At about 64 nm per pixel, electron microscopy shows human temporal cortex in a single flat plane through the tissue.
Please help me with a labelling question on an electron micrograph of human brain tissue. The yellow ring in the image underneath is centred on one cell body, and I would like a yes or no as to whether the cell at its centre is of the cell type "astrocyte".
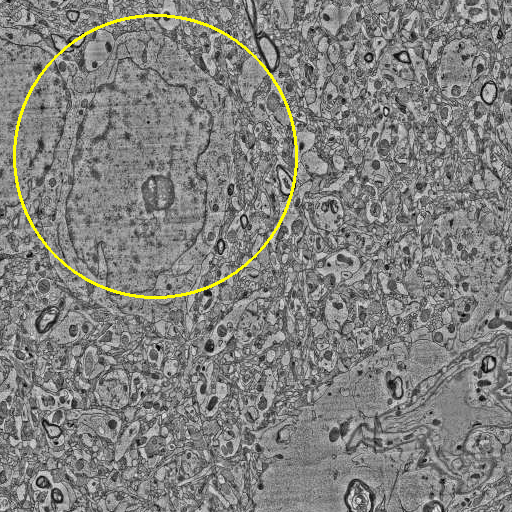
no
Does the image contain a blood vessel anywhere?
Yes, a blood vessel can be seen.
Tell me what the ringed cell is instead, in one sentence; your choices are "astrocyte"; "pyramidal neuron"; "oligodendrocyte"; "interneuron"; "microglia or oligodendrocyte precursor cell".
Instead, the ring in this picture marks an interneuron.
